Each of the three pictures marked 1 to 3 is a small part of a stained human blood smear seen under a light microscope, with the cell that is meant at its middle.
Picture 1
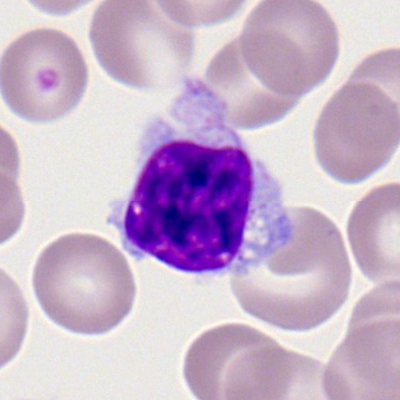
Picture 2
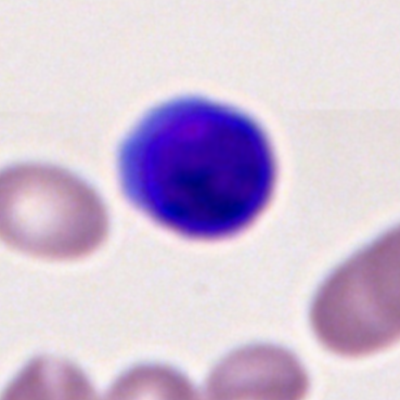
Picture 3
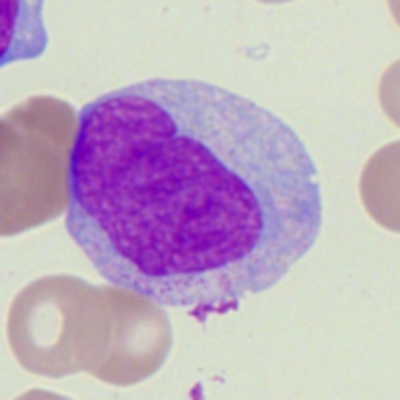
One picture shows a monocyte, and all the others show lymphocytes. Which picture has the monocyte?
3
